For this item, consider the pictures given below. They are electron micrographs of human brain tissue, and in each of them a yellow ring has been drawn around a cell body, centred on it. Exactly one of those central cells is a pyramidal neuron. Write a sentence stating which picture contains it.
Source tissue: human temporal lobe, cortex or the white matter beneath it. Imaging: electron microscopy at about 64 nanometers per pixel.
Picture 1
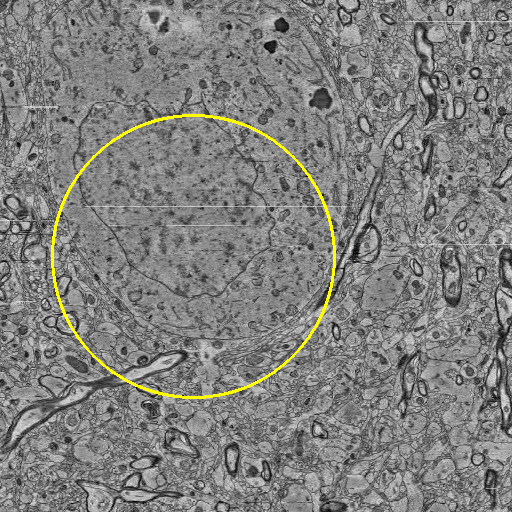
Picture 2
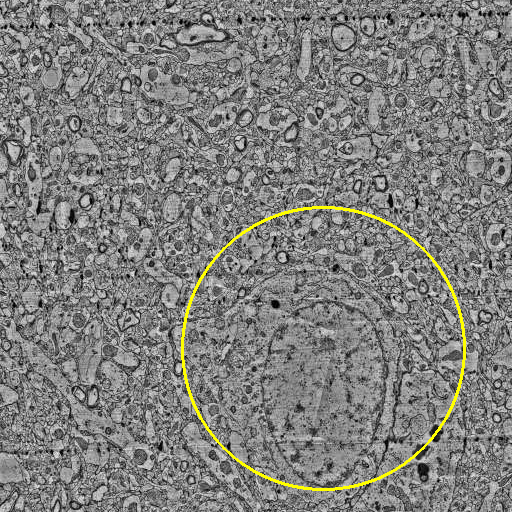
It is in Picture 1.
